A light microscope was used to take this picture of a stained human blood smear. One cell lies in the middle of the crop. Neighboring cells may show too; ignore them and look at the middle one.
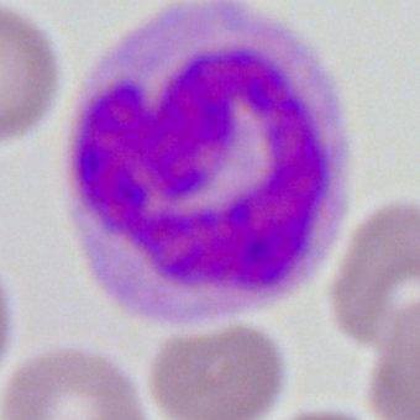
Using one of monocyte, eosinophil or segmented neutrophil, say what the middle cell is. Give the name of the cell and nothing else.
monocyte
